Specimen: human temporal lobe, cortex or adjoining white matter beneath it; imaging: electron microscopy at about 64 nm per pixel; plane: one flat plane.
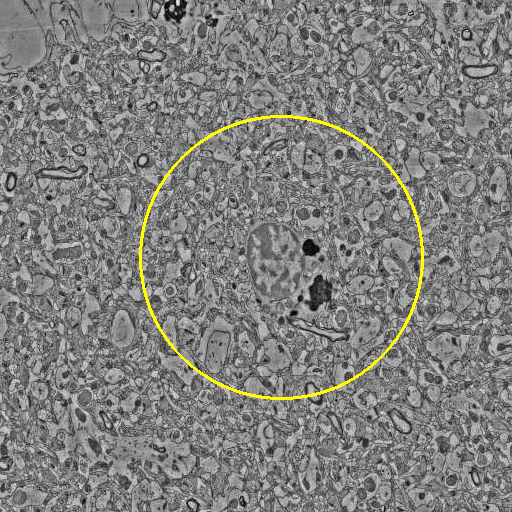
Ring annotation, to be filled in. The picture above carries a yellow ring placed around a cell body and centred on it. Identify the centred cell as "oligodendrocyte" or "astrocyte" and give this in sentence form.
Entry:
The cell in the middle of the ring is an oligodendrocyte.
